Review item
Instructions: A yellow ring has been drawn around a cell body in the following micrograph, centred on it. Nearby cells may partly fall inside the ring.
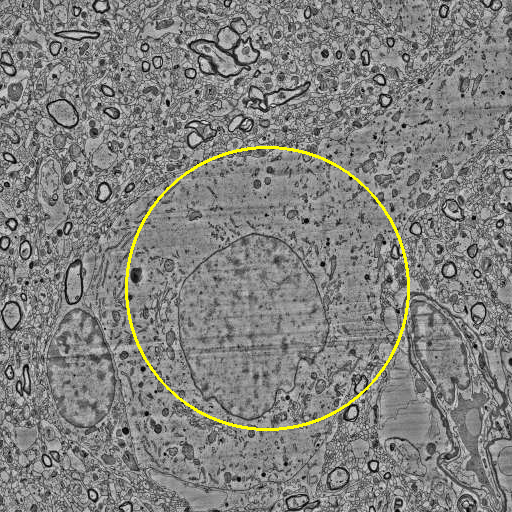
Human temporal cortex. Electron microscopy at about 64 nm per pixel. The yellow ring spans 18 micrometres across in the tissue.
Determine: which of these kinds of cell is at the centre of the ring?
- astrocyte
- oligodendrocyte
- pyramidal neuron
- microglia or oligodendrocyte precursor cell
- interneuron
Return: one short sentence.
The cell body in the middle of the ring is that of a pyramidal neuron.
